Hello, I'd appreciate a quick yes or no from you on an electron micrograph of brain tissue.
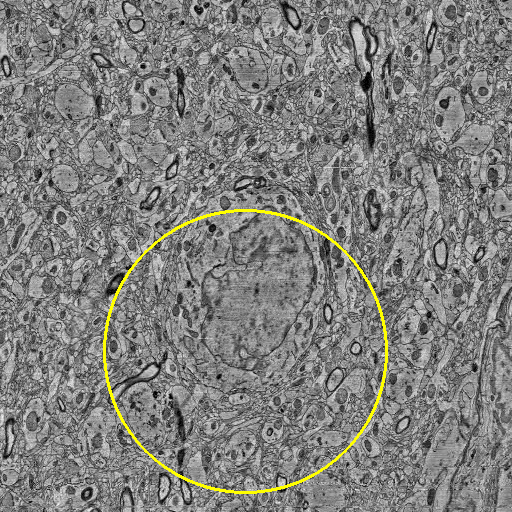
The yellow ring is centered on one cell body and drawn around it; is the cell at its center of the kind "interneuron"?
yes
